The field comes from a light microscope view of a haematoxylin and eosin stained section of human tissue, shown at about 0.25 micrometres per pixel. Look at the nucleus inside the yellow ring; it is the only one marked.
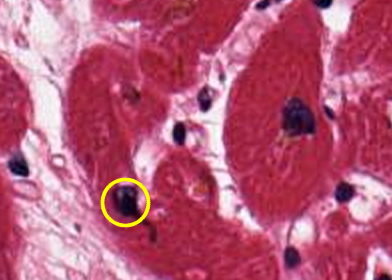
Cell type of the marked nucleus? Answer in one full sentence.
The marked nucleus here is the nucleus of a cardiomyocyte.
